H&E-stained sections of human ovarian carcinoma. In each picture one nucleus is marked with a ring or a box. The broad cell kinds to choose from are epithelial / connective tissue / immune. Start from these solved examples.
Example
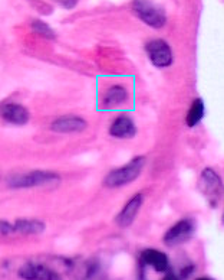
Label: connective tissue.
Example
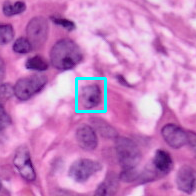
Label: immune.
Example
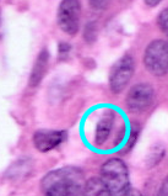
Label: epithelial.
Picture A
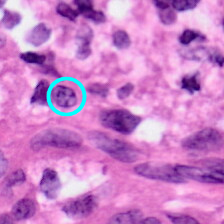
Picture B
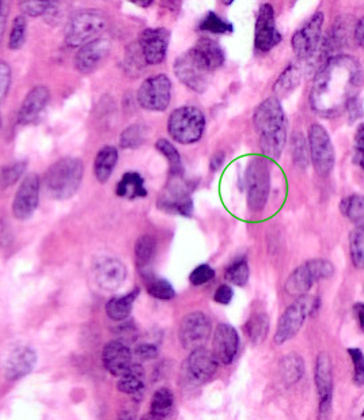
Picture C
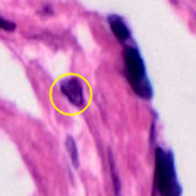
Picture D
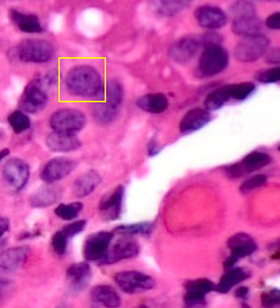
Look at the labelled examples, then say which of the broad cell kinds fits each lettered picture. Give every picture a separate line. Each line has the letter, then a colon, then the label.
A: immune.
B: epithelial.
C: connective tissue.
D: epithelial.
